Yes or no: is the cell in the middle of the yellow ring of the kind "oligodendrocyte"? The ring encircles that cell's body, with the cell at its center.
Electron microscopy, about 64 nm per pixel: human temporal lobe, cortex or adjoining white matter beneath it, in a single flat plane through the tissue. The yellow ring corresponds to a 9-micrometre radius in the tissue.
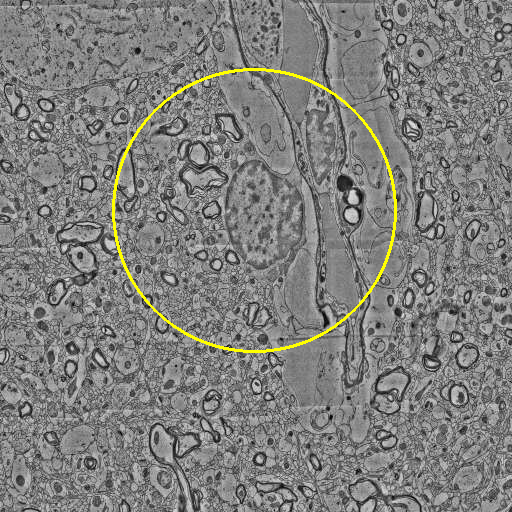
yes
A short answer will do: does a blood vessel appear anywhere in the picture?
Yes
